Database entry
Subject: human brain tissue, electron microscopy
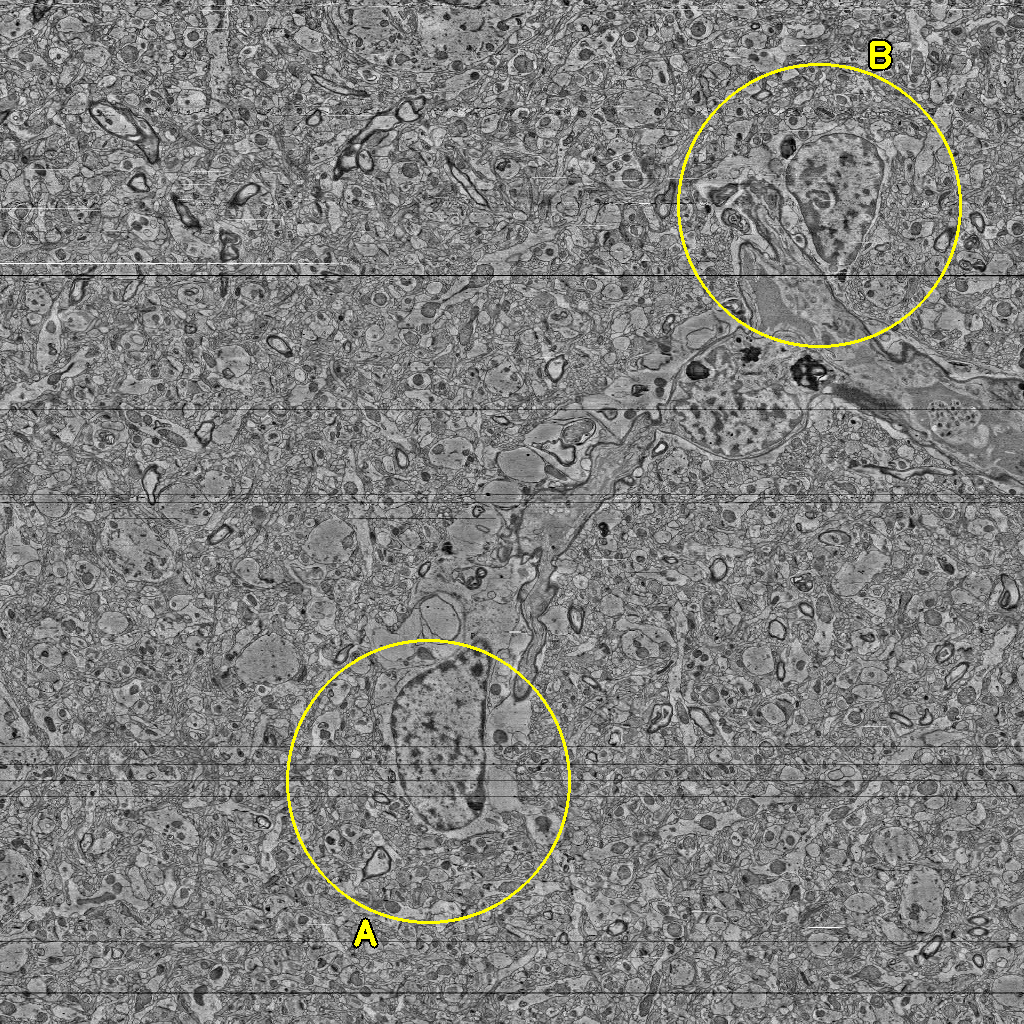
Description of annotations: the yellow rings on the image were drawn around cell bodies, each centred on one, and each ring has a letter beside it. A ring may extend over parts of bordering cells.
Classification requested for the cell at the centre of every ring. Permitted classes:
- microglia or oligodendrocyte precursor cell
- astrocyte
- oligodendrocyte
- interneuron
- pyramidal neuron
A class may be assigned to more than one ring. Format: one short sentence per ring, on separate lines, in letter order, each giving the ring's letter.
The cell body at the centre of ring A is a microglial cell or oligodendrocyte precursor cell.
The cell body at the centre of ring B is a microglial cell or oligodendrocyte precursor cell.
